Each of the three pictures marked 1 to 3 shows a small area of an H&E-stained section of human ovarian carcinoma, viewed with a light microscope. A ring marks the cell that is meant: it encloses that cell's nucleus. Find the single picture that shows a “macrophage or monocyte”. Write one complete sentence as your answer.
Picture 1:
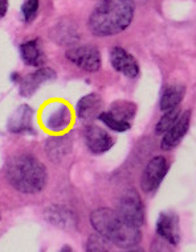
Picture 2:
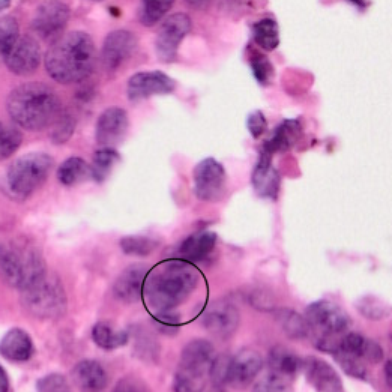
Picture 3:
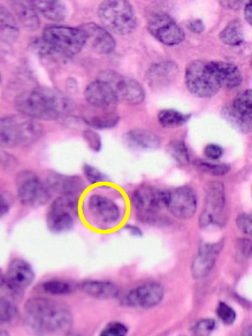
The cell in picture 3 is the “macrophage or monocyte”.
